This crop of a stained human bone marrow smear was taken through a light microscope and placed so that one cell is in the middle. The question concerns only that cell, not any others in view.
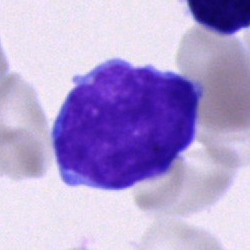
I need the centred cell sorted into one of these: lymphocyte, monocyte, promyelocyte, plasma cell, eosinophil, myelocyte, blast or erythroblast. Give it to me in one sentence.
The cell in the middle of this crop is a blast.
